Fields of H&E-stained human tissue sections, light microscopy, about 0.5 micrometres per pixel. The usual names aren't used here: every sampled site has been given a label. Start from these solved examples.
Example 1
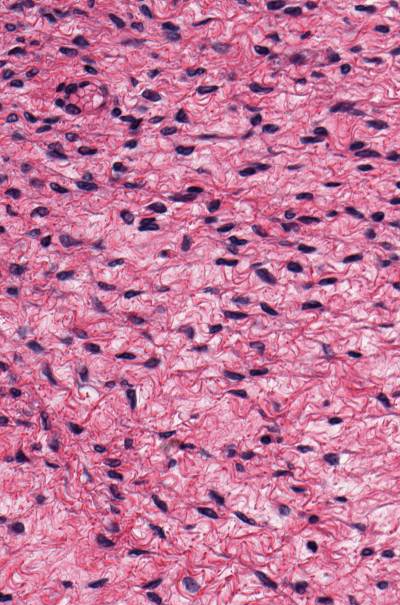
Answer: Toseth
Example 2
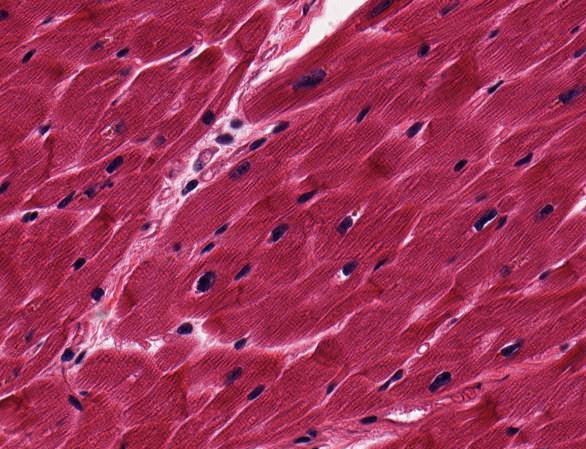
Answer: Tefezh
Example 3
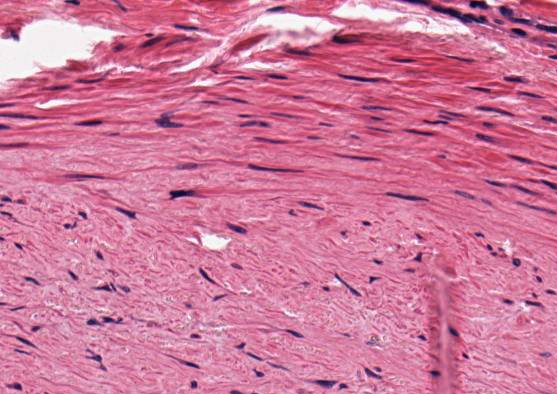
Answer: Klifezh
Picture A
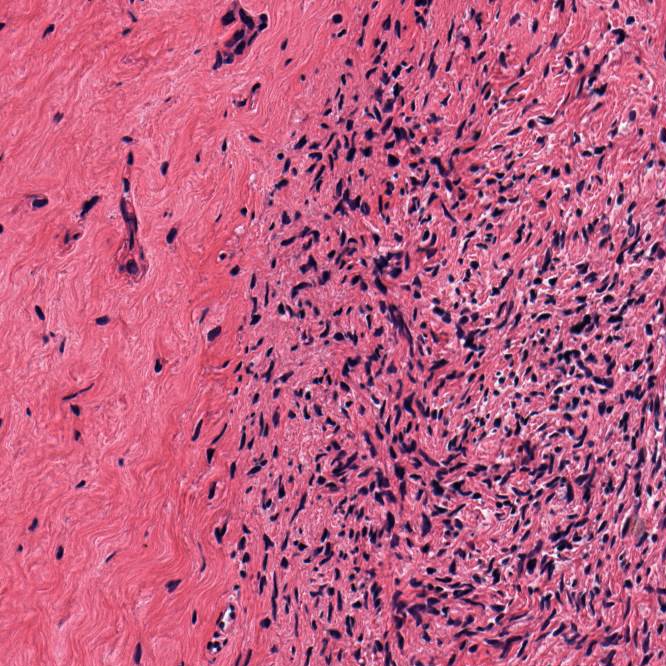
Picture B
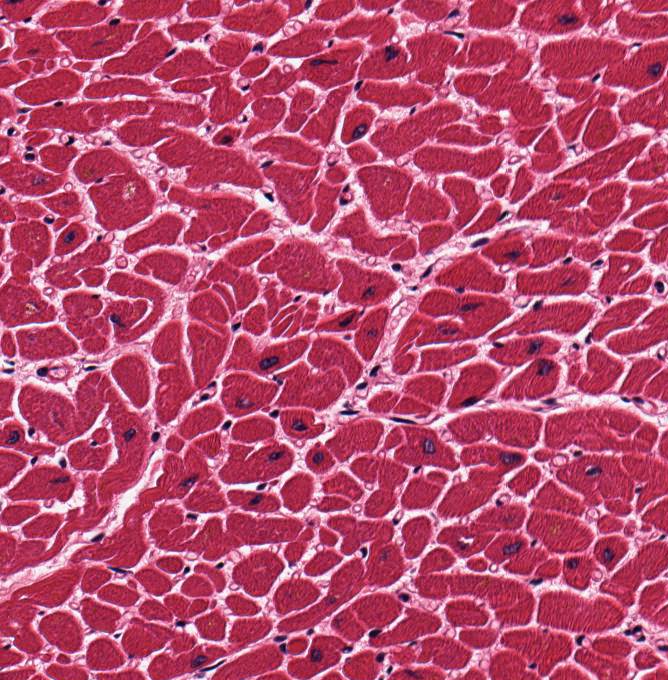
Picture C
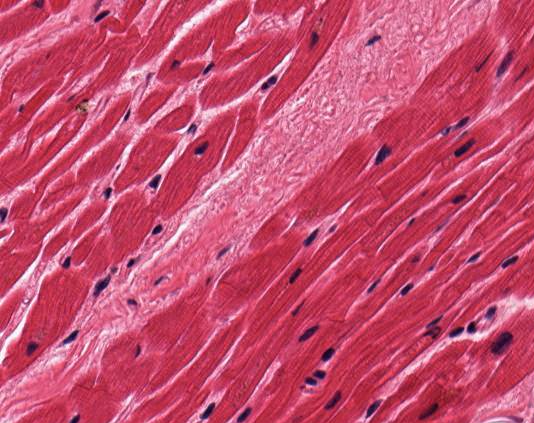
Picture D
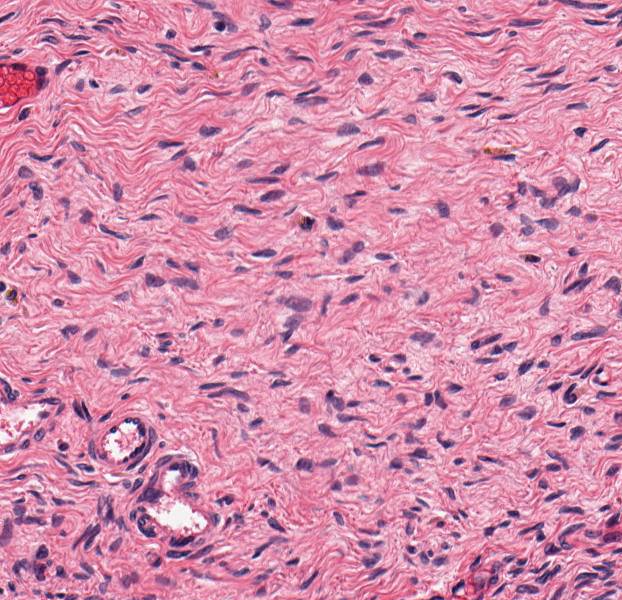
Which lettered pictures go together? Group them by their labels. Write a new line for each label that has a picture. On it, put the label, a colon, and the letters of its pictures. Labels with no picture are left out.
Toseth: A, D
Tefezh: B, C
